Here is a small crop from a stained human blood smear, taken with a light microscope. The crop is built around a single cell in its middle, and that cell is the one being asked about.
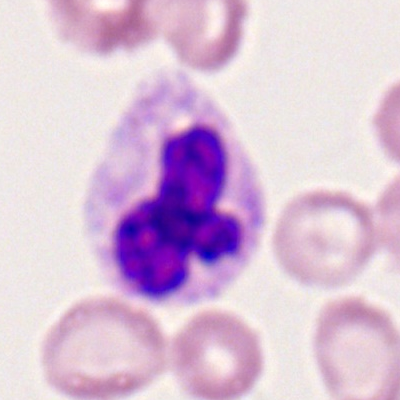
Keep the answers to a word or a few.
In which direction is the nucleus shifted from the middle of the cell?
bottom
